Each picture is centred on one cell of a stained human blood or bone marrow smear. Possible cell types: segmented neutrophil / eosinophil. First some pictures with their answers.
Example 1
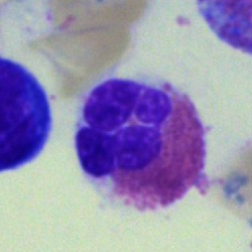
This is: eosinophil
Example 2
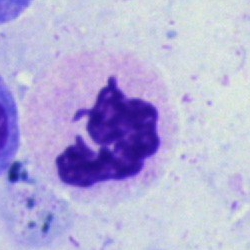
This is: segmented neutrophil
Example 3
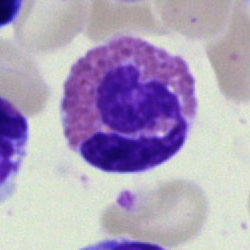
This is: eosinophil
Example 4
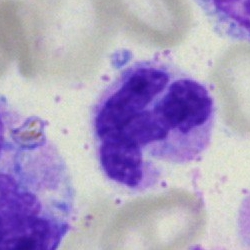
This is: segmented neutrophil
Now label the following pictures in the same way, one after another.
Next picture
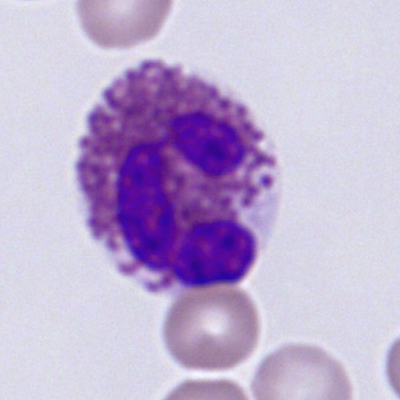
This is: eosinophil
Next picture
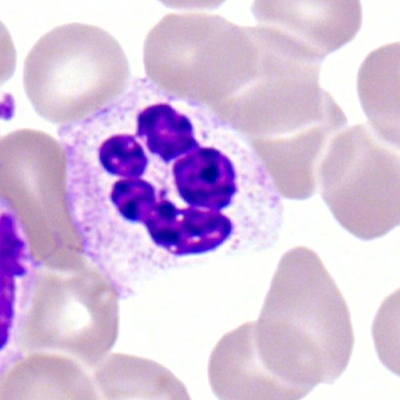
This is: segmented neutrophil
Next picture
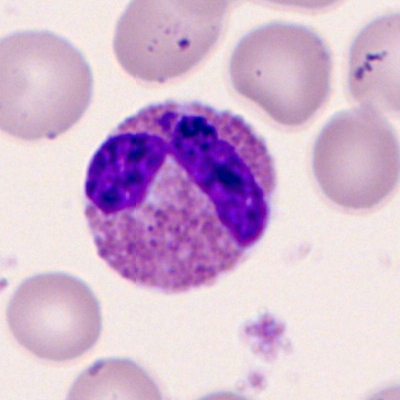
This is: eosinophil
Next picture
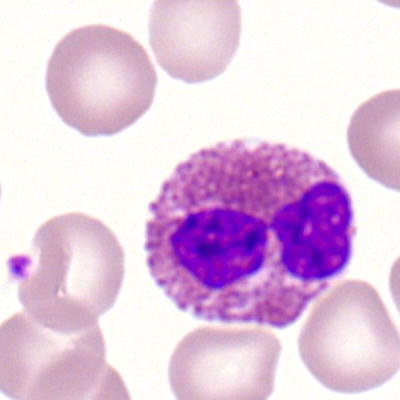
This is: eosinophil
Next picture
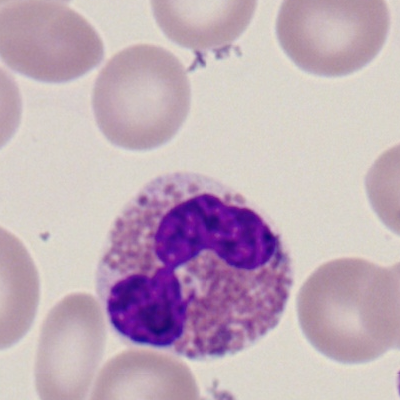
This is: eosinophil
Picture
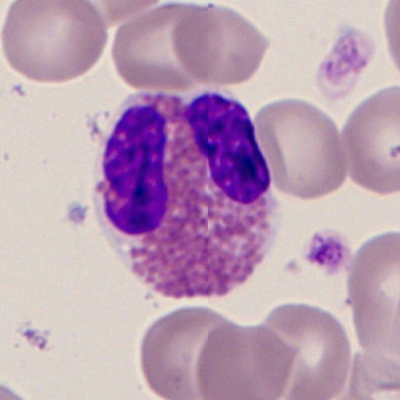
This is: eosinophil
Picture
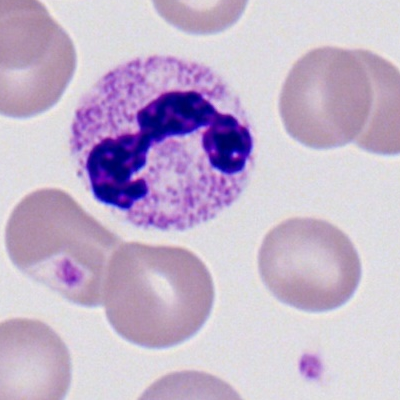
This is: segmented neutrophil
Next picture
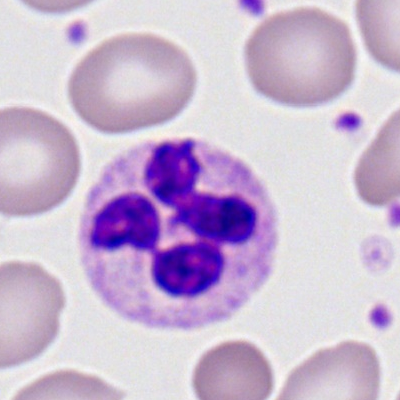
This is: segmented neutrophil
